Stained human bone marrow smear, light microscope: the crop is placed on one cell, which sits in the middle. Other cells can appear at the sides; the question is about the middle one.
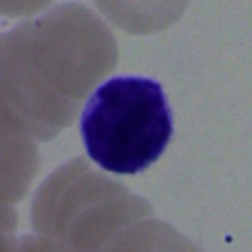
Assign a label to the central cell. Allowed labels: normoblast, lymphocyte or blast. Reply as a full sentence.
For this crop, the central cell is a lymphocyte.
